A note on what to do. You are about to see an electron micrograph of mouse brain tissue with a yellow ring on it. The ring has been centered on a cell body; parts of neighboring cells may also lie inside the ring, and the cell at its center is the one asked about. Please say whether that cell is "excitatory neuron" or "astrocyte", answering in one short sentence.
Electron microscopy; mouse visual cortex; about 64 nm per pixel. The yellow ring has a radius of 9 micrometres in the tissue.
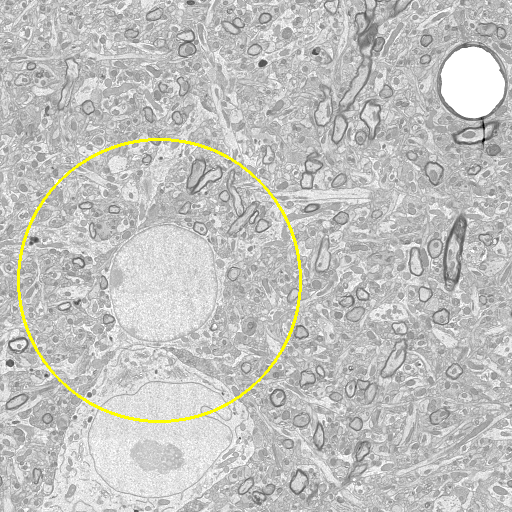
The yellow ring sits on an astrocyte.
